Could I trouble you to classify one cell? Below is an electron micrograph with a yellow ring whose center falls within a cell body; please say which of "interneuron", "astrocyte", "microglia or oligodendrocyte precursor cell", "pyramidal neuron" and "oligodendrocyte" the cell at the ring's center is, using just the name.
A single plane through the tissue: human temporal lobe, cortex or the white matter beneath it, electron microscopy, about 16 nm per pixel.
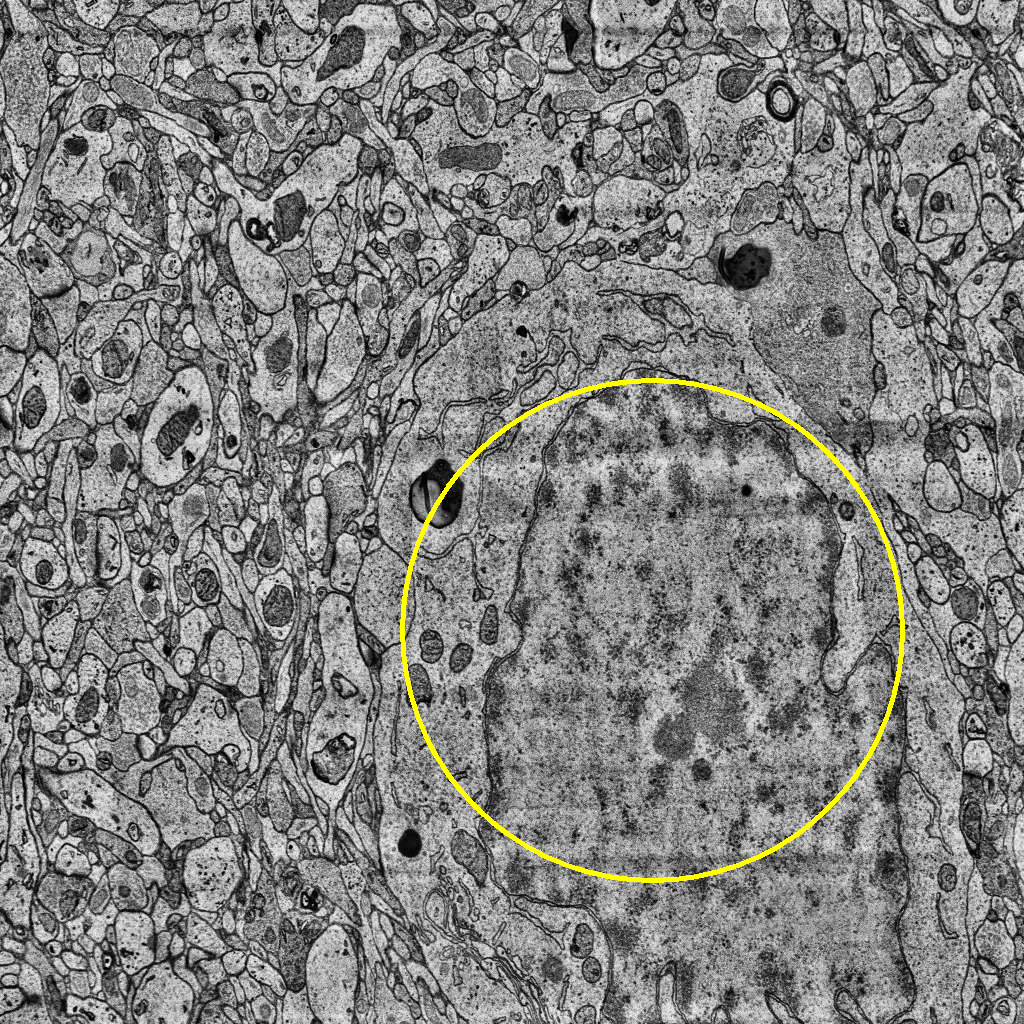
interneuron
